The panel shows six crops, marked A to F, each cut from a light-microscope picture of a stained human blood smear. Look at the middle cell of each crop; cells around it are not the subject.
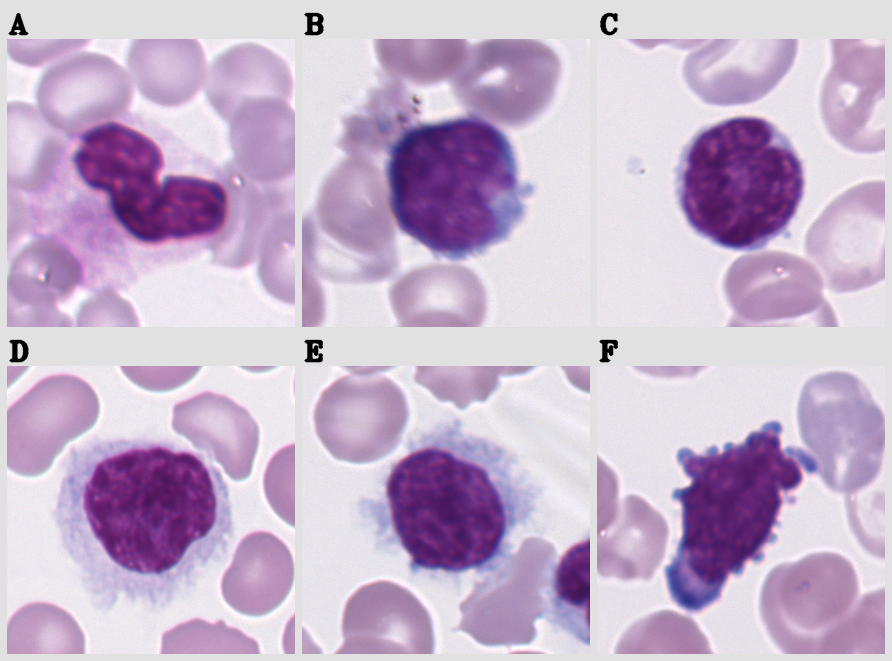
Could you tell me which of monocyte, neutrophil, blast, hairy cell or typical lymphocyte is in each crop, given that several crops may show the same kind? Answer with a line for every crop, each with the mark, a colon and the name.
A: neutrophil
B: blast
C: typical lymphocyte
D: hairy cell
E: hairy cell
F: blast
